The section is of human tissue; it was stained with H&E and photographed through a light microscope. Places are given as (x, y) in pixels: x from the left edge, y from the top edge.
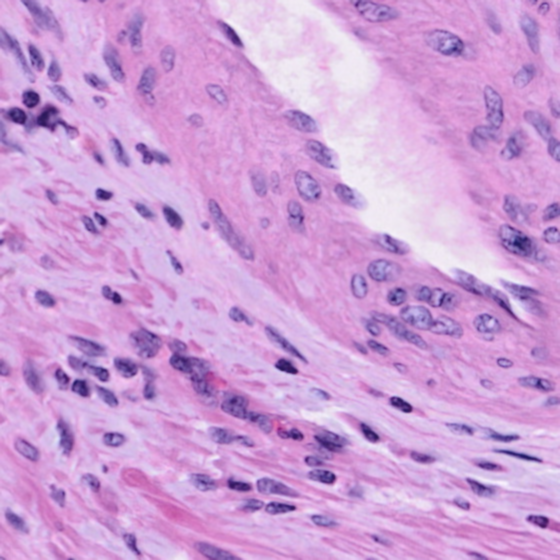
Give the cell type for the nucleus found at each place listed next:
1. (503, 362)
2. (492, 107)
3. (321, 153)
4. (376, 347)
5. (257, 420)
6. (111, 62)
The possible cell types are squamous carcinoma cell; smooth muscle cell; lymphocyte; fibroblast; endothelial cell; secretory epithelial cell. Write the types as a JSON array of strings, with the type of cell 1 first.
["smooth muscle cell", "smooth muscle cell", "endothelial cell", "smooth muscle cell", "endothelial cell", "smooth muscle cell"]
